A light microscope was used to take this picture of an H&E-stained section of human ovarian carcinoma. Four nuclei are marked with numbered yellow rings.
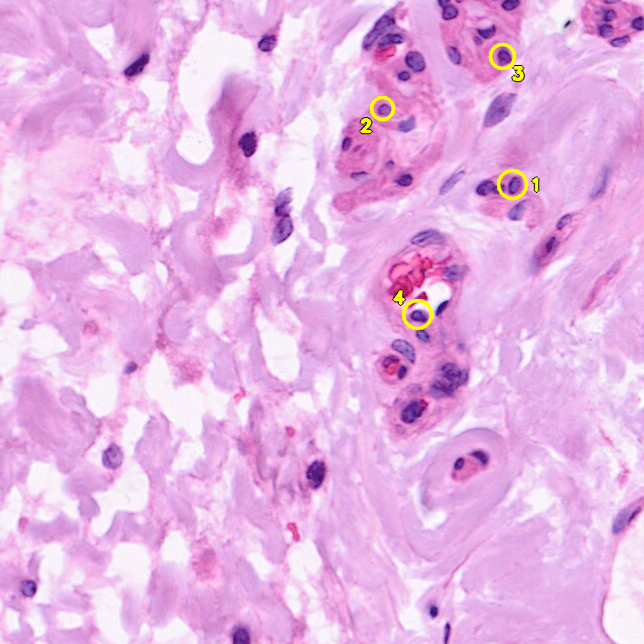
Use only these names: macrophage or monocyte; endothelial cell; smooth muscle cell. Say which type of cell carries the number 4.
endothelial cell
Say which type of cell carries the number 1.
smooth muscle cell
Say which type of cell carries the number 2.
smooth muscle cell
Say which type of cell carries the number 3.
smooth muscle cell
